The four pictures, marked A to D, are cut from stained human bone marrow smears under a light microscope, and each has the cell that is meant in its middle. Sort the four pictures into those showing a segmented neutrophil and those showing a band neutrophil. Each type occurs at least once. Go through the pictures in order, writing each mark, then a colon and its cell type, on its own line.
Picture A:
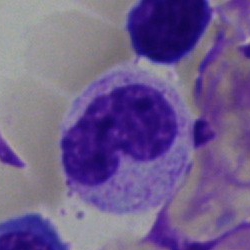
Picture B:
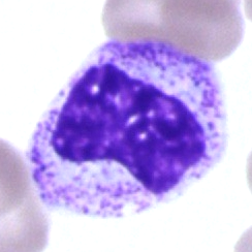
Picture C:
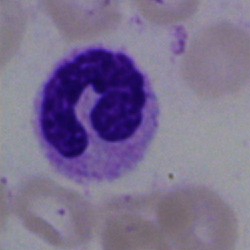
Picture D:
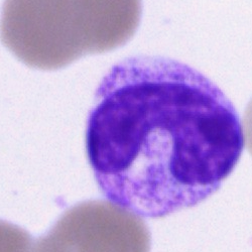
A: band neutrophil
B: band neutrophil
C: segmented neutrophil
D: band neutrophil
